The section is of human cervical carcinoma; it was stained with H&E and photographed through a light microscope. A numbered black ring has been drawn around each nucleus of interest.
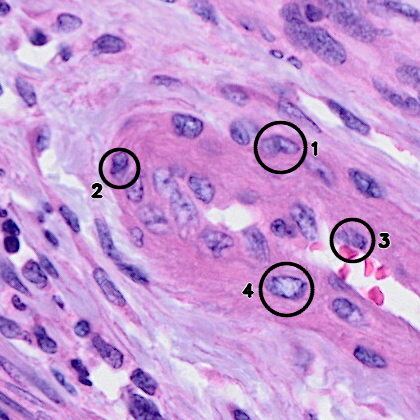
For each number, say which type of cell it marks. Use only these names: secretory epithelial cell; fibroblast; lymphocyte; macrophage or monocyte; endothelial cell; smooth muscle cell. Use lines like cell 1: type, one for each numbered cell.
cell 1: smooth muscle cell
cell 2: smooth muscle cell
cell 3: endothelial cell
cell 4: smooth muscle cell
